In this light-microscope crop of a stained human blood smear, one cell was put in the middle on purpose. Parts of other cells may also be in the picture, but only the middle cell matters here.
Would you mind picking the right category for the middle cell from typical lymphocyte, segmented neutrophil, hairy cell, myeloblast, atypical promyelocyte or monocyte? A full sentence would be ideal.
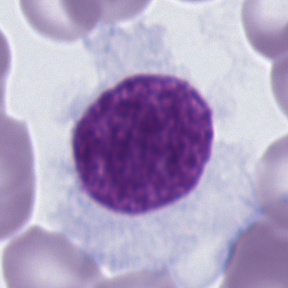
Within this crop, a hairy cell occupies the central position.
